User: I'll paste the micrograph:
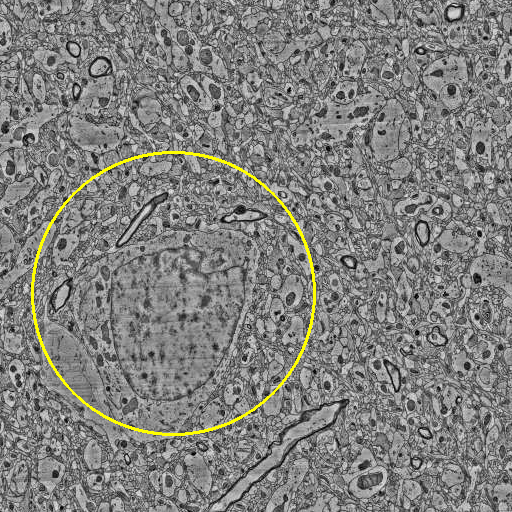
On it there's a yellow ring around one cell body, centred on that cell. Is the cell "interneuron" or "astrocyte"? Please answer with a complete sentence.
The cell ringed in yellow is an interneuron.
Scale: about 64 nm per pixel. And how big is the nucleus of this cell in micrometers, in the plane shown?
In this plane, the nucleus of the cell at the centre of the ring measures about 11 by 9 micrometres.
